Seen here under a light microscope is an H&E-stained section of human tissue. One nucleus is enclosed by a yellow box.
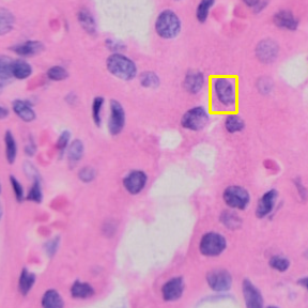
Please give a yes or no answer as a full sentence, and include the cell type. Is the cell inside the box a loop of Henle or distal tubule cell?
Yes, within this tissue section, the cell inside the box is a loop of Henle or distal tubule cell.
